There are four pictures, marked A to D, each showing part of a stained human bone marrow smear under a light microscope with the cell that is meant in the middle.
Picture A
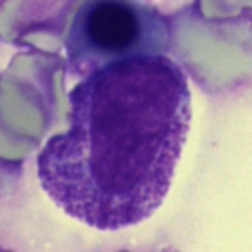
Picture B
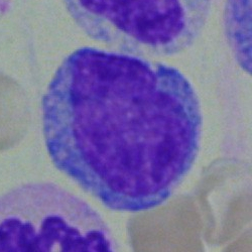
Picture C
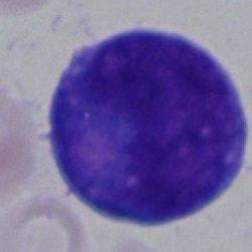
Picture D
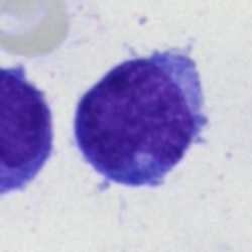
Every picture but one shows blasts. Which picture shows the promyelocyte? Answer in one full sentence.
The picture with the promyelocyte is A.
